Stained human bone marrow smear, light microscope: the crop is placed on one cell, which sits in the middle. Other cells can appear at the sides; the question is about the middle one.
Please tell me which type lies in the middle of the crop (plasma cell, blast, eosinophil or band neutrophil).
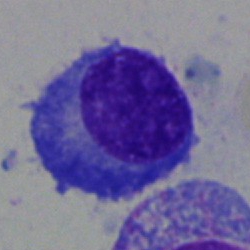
plasma cell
